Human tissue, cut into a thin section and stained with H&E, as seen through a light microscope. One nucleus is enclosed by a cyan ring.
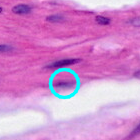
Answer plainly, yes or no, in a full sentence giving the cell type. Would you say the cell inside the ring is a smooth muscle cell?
Yes, as far as cell type goes, the cell inside the ring is a smooth muscle cell.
